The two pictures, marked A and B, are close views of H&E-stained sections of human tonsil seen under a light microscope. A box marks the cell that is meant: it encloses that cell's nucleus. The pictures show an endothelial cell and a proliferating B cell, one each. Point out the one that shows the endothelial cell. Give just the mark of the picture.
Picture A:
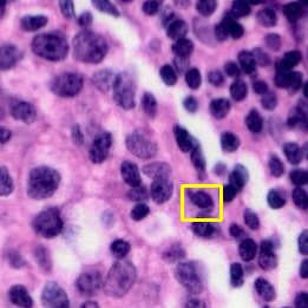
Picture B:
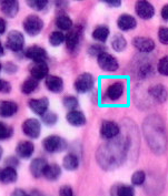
B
